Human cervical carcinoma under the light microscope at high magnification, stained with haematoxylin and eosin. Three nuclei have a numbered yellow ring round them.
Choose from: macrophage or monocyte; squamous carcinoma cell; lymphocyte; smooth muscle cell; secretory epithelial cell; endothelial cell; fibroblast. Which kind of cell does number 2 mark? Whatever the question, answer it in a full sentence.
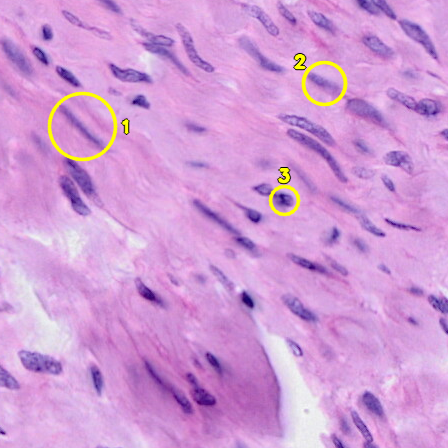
The identity of cell 2 is that of a smooth muscle cell.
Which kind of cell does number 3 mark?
The cell referenced by the number 3 is a fibroblast in this field.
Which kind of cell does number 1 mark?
The cell indicated with the number 1 is classed as a fibroblast.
